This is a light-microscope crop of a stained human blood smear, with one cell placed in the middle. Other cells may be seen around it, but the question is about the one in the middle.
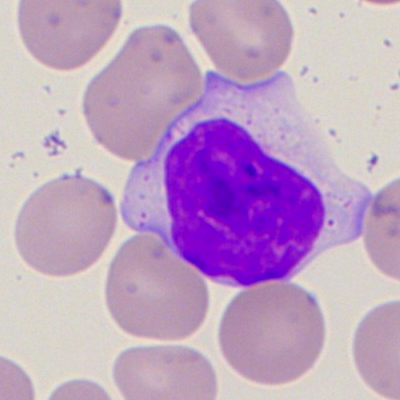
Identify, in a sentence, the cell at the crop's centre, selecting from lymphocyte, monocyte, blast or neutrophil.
Here the cell in the middle is a lymphocyte.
